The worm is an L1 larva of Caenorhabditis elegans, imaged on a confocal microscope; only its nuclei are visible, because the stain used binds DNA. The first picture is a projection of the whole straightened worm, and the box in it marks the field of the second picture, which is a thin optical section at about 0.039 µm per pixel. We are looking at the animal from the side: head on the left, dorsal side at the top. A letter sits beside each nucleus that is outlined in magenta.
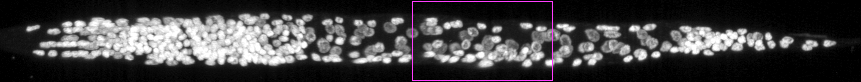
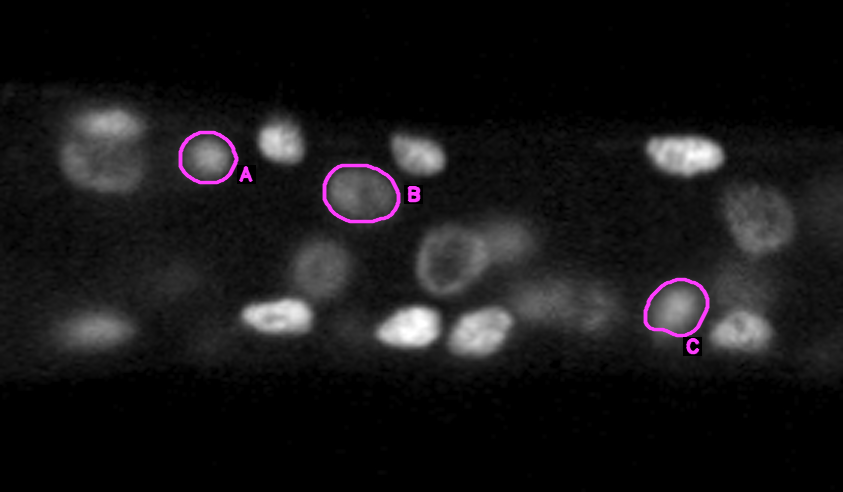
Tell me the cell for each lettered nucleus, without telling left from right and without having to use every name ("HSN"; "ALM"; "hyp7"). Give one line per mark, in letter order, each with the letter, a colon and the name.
A: ALM
B: hyp7
C: HSN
